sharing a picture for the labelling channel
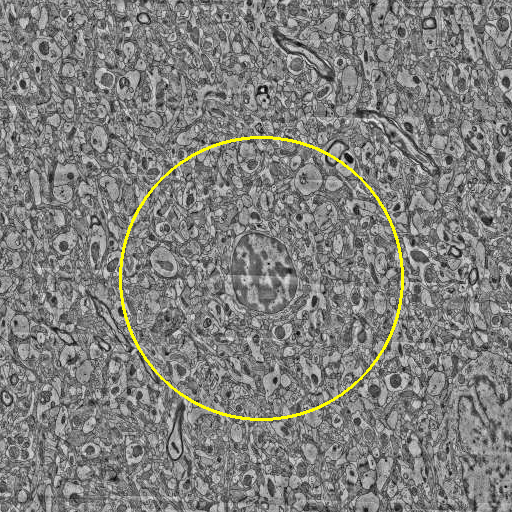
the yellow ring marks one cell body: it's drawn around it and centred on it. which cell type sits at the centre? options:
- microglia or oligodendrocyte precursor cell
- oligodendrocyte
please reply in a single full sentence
In the picture, the cell at the ring's centre is a microglial cell or oligodendrocyte precursor cell, going by the list.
